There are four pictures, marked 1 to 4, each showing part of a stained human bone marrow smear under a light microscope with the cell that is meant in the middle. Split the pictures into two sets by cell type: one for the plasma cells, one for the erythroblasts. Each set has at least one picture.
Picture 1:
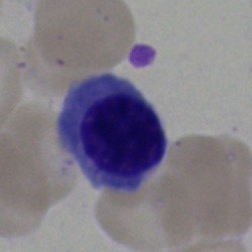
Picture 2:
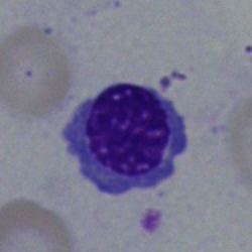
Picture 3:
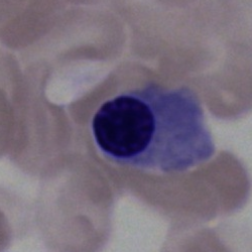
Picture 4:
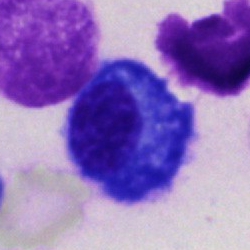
1: erythroblast
2: erythroblast
3: erythroblast
4: plasma cell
